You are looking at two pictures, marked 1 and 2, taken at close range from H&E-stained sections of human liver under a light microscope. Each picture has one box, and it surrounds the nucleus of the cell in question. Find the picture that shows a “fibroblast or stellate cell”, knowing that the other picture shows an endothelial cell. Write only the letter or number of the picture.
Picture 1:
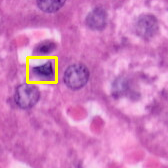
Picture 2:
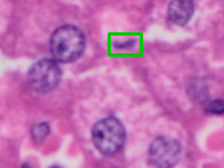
1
